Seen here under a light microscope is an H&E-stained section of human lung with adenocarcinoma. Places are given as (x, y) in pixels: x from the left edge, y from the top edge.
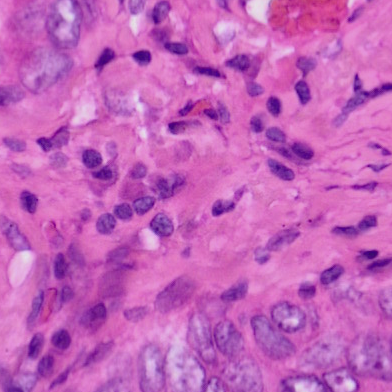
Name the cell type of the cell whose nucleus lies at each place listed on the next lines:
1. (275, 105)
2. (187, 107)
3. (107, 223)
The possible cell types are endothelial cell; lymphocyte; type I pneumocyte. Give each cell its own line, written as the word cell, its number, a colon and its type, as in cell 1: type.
cell 1: lymphocyte
cell 2: endothelial cell
cell 3: lymphocyte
